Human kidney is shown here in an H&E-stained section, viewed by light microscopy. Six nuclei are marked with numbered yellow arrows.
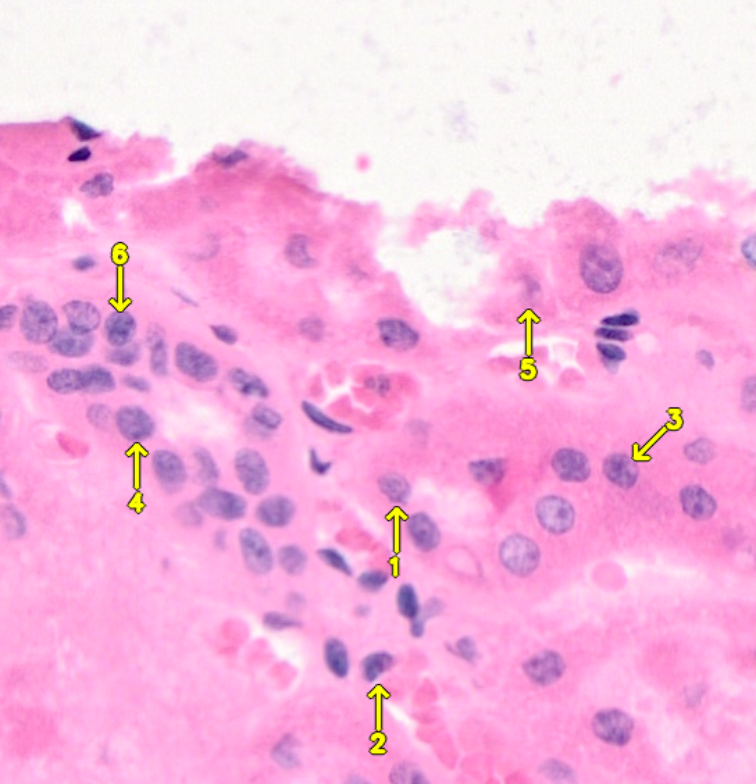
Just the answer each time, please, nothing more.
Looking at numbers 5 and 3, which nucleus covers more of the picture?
3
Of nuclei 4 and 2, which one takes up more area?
4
